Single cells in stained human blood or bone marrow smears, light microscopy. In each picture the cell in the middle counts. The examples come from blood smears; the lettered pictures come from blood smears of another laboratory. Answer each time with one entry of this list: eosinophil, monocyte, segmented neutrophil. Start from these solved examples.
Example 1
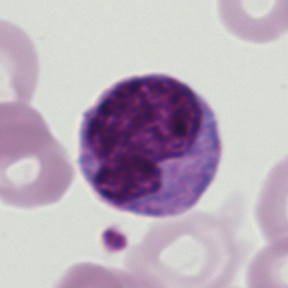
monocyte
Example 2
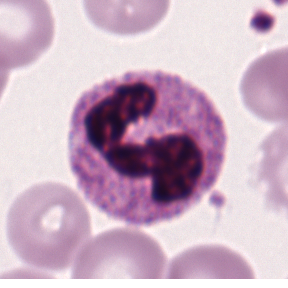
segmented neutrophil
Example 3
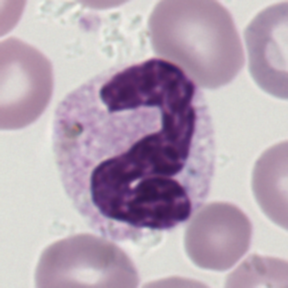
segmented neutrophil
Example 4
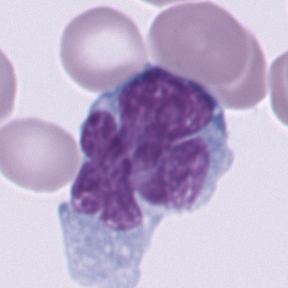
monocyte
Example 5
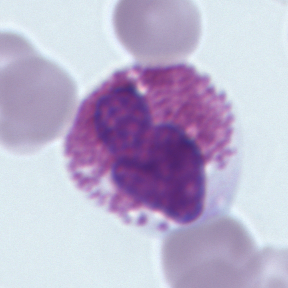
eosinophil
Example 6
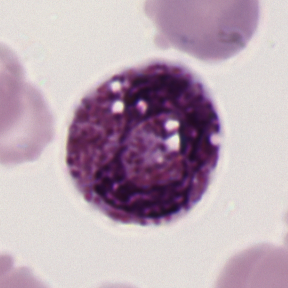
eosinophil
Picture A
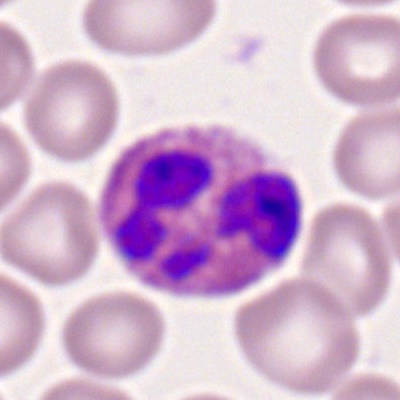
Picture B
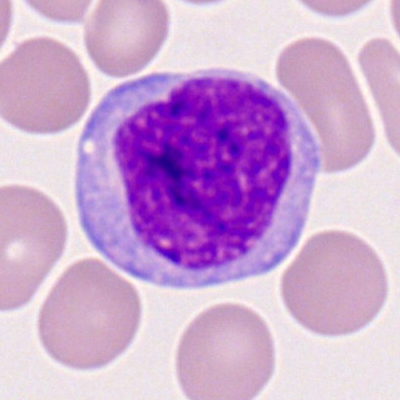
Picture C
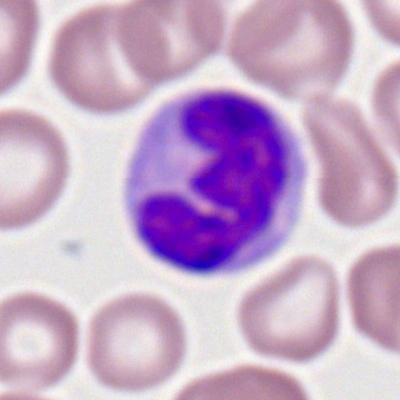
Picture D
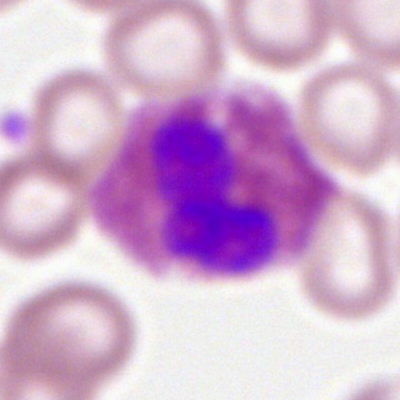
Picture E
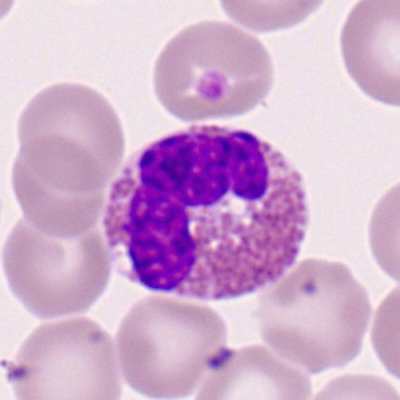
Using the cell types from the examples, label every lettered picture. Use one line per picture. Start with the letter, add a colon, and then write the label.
A: eosinophil
B: monocyte
C: monocyte
D: eosinophil
E: eosinophil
